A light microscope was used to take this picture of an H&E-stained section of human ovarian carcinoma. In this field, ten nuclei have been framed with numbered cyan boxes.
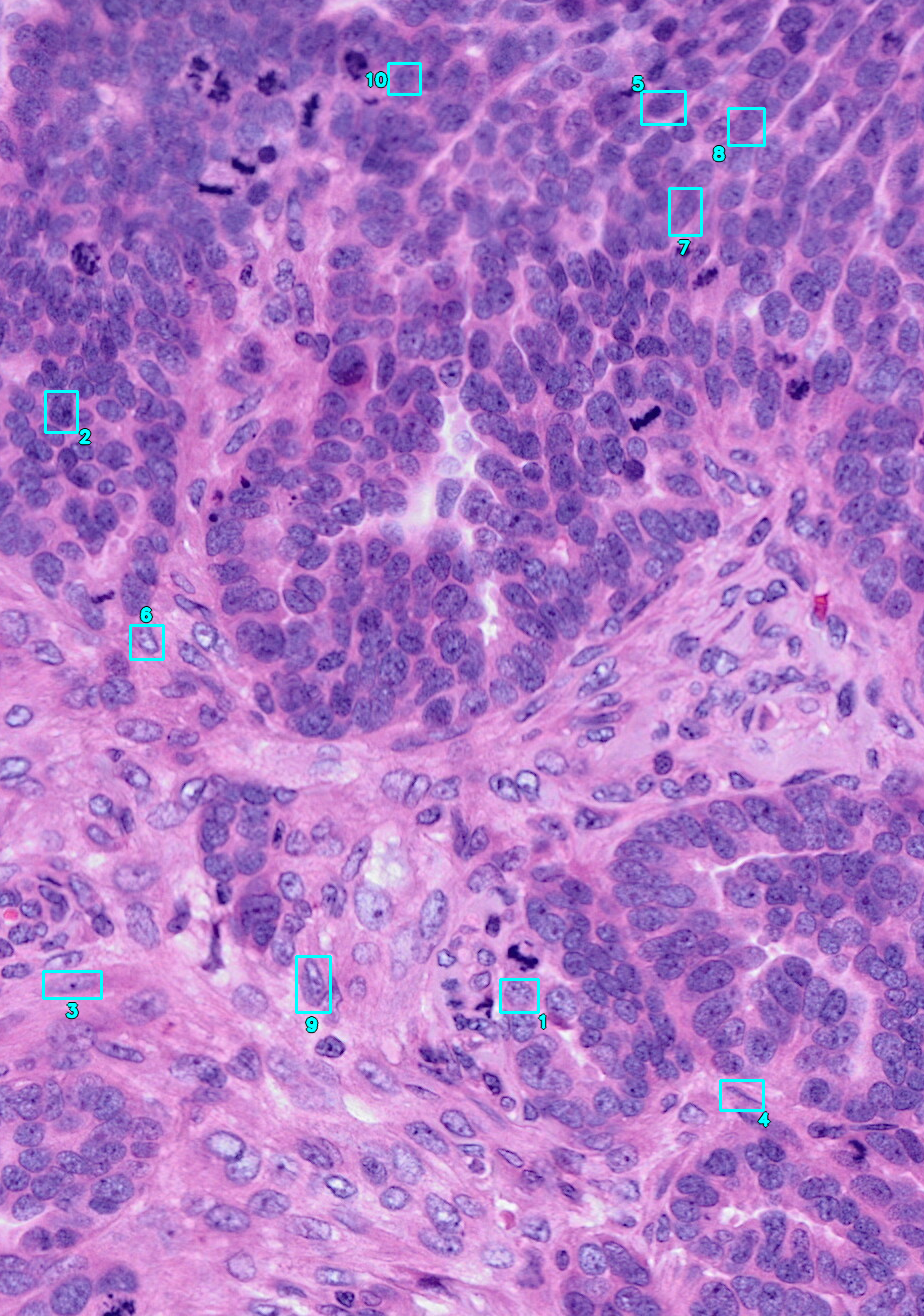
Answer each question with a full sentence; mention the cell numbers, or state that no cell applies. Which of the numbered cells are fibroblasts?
Here, the cells that carry numbers 3, 4, 6 and 9 are fibroblasts.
